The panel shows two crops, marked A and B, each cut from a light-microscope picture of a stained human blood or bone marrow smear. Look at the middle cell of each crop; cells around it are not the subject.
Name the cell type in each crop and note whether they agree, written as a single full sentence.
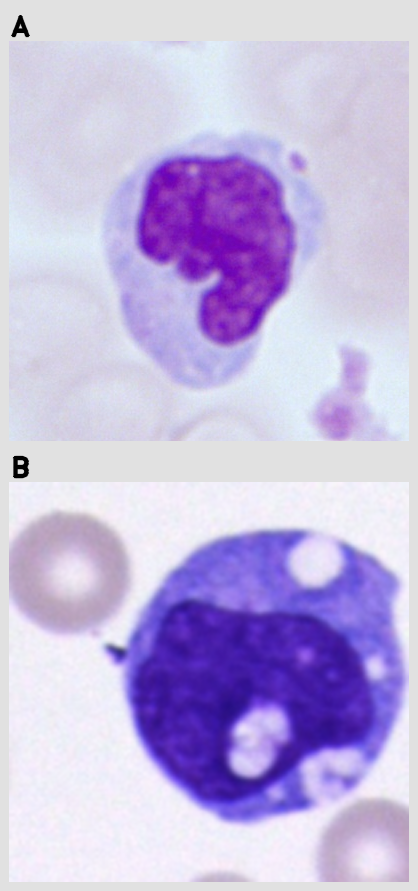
Yes, the cells of interest in both crops are monocytes.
